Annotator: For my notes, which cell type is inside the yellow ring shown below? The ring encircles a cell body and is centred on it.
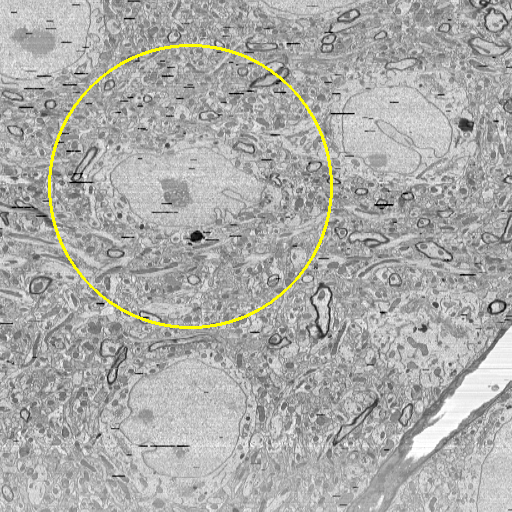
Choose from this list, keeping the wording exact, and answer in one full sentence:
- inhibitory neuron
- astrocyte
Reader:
At the centre of the yellow ring there is an inhibitory neuron, as shown in the picture.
